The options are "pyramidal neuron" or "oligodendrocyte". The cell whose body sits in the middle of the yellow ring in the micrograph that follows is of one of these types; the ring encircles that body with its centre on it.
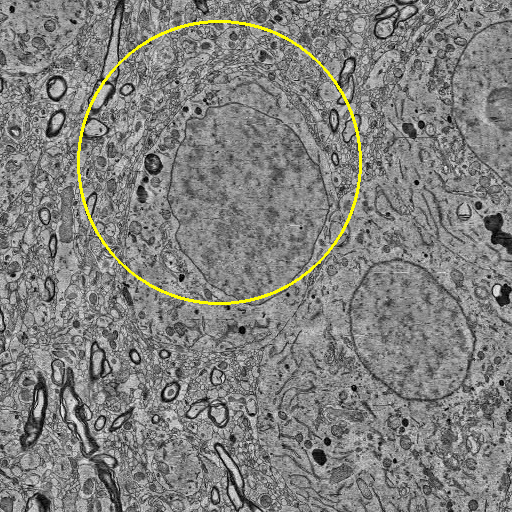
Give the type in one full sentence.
Going by the micrograph, the cell centred in the yellow ring is a pyramidal neuron.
